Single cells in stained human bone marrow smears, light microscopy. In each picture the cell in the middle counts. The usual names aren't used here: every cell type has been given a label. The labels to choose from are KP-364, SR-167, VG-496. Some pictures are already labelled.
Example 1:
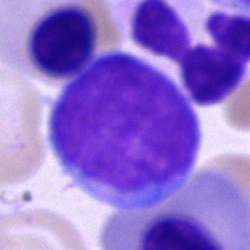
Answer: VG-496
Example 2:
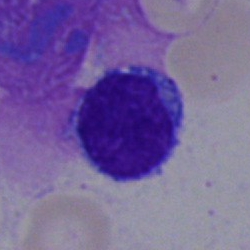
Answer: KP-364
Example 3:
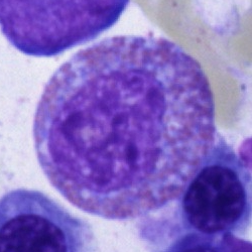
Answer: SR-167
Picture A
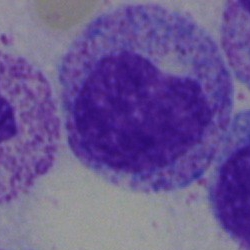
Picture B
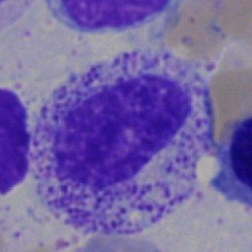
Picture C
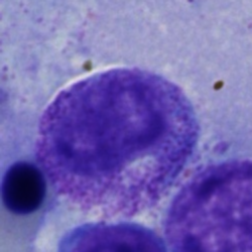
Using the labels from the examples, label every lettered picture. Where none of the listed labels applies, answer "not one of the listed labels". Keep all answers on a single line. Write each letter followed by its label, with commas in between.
A SR-167, B SR-167, C SR-167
